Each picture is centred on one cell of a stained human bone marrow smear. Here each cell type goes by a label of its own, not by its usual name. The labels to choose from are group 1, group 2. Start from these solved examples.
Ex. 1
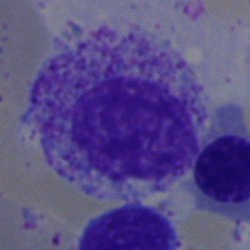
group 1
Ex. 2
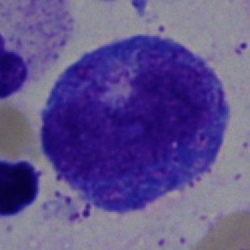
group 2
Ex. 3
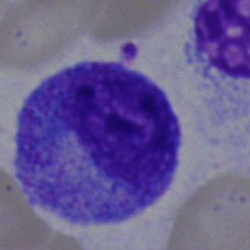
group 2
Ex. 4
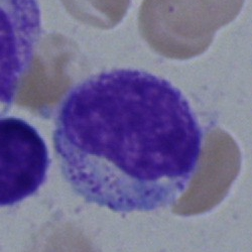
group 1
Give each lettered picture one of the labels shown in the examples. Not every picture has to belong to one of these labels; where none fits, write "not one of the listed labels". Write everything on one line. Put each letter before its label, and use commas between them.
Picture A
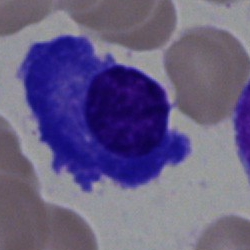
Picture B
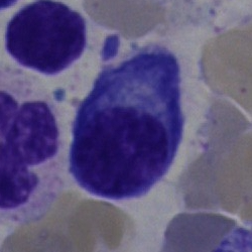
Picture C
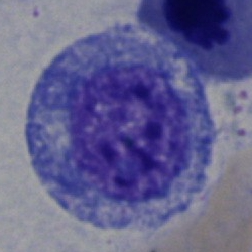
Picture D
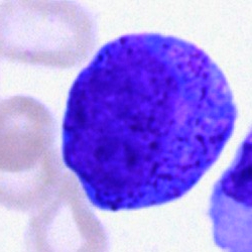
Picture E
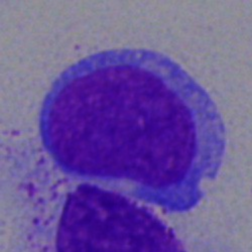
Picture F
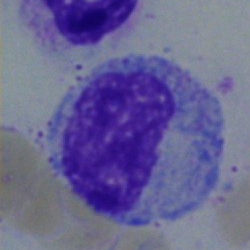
A not one of the listed labels, B not one of the listed labels, C group 2, D group 2, E group 2, F group 1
